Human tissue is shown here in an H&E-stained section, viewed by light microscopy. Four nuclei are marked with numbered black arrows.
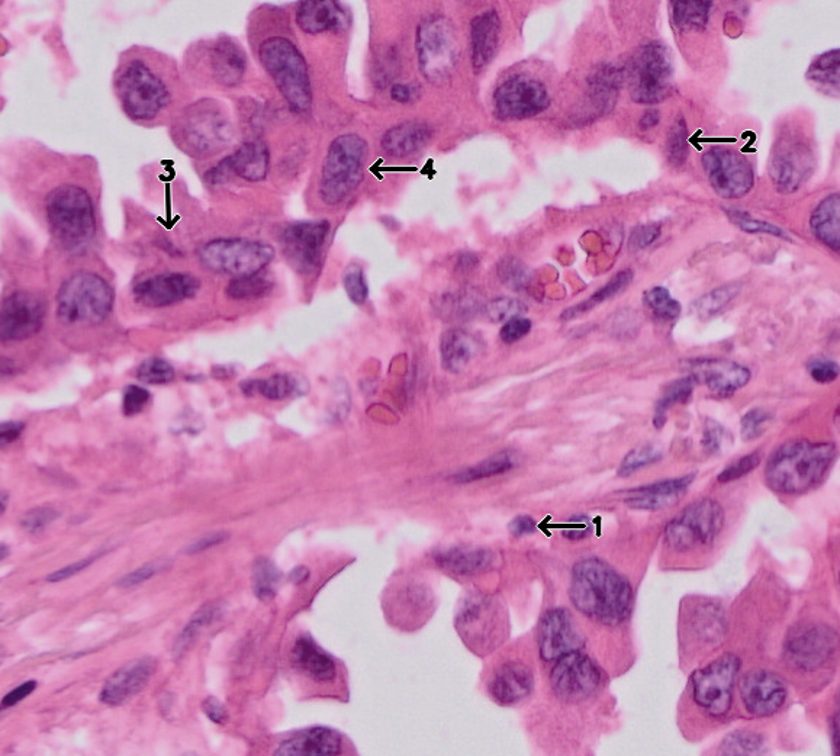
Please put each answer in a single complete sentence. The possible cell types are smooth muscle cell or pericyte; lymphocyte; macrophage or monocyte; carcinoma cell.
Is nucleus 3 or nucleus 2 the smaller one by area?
Nucleus 3 is the smaller one; nucleus 2 covers about 2 times its area.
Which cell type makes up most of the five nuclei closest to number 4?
Carcinoma cells make up most of the five nuclei closest to number 4.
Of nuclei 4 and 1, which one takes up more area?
Number 4 is larger; its area is about 4 times that of number 1.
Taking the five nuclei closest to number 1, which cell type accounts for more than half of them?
Most of the five nuclei nearest to number 1 are those of smooth muscle cells or pericytes.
